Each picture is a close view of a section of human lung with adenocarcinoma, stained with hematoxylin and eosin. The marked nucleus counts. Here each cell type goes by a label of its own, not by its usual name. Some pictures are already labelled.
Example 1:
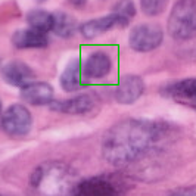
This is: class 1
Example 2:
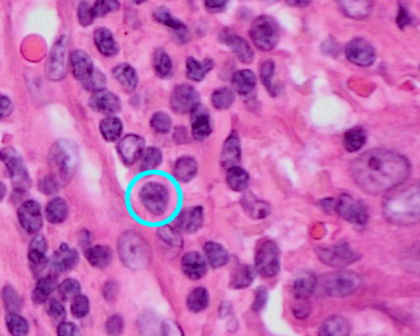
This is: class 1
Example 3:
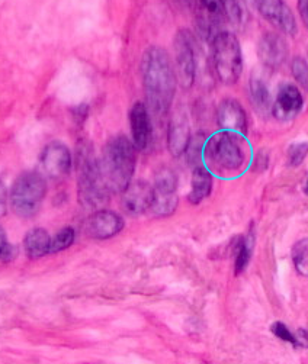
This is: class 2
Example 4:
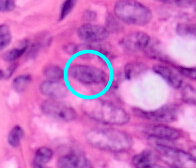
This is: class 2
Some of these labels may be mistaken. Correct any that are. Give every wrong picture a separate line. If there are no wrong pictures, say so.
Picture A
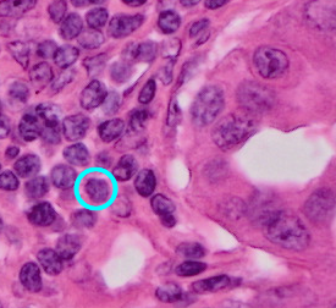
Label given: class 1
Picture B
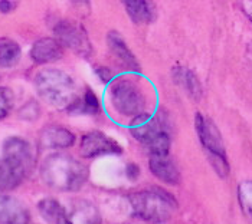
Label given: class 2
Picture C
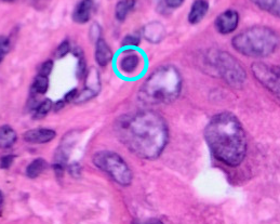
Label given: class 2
C: class 1, not class 2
